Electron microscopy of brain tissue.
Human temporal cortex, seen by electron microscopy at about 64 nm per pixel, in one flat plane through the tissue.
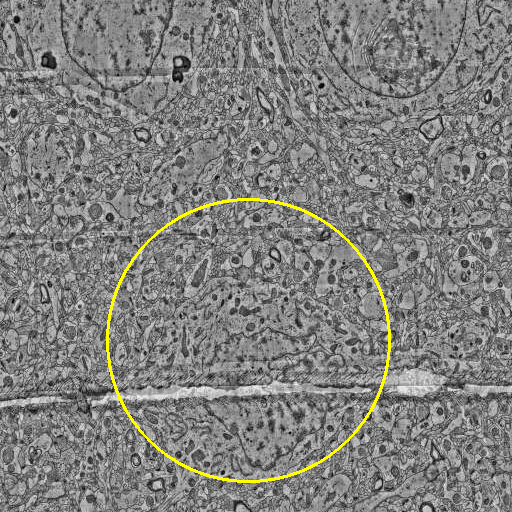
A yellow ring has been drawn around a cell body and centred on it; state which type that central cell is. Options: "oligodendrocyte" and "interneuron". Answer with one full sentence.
The cell at the middle of the yellow ring is an interneuron in this picture.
